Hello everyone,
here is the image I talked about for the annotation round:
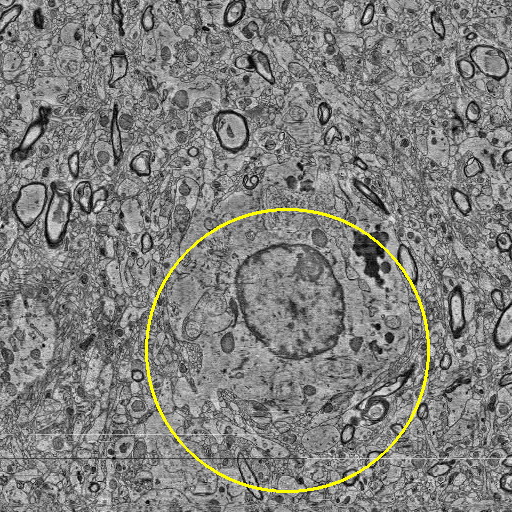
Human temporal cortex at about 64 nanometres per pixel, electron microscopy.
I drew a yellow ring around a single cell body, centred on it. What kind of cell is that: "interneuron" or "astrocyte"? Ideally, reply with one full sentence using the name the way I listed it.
The cell your yellow ring is centred on is an astrocyte, going by your list.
